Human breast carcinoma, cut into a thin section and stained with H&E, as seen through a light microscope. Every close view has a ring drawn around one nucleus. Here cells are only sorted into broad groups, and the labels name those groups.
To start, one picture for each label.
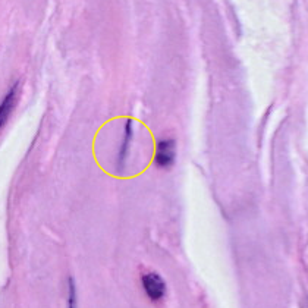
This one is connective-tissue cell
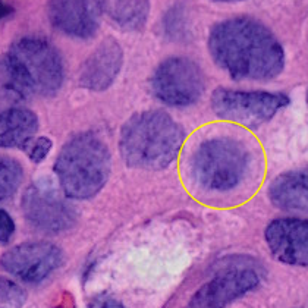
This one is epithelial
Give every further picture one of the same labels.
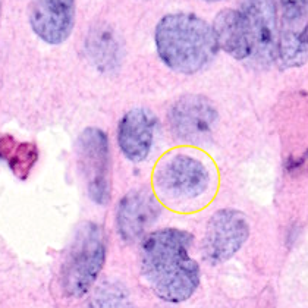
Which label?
epithelial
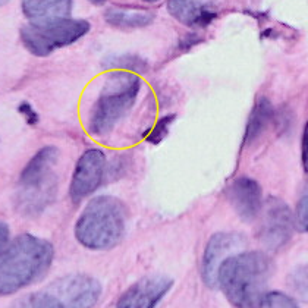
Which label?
epithelial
